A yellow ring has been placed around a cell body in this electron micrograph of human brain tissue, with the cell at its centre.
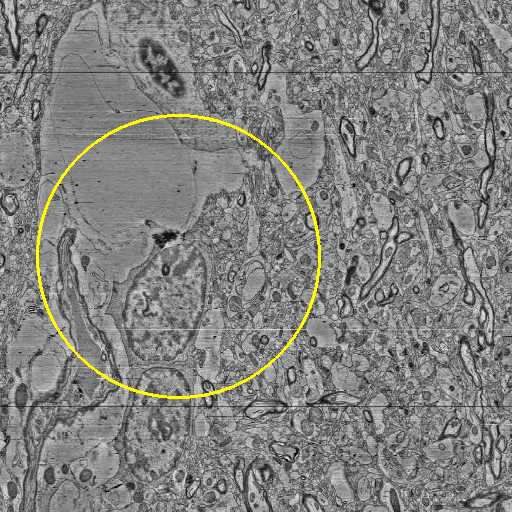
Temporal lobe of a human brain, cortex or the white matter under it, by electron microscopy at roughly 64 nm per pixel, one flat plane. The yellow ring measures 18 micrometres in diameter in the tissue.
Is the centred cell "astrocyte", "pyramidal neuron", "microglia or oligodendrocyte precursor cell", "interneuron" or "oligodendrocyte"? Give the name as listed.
oligodendrocyte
